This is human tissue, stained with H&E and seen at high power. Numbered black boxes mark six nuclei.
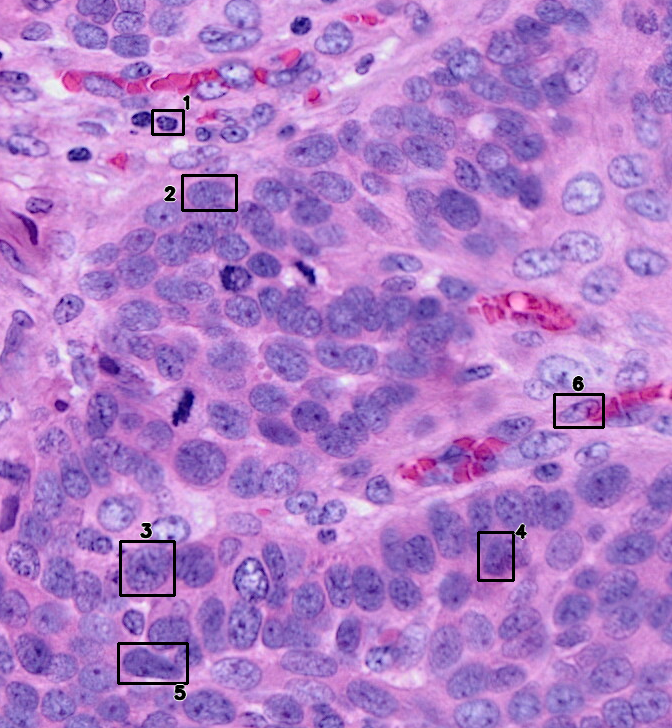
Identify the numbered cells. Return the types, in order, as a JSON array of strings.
["lymphocyte", "carcinoma cell", "carcinoma cell", "carcinoma cell", "carcinoma cell", "endothelial cell"]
